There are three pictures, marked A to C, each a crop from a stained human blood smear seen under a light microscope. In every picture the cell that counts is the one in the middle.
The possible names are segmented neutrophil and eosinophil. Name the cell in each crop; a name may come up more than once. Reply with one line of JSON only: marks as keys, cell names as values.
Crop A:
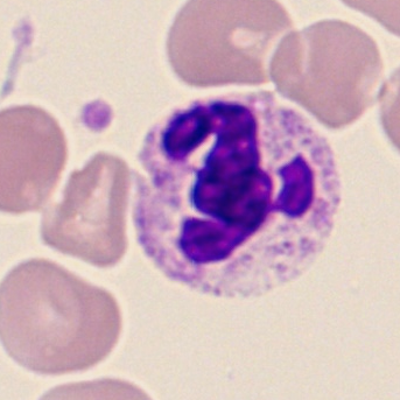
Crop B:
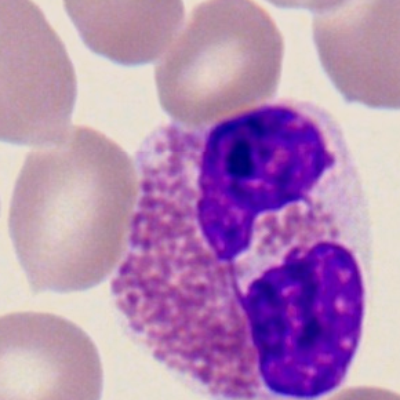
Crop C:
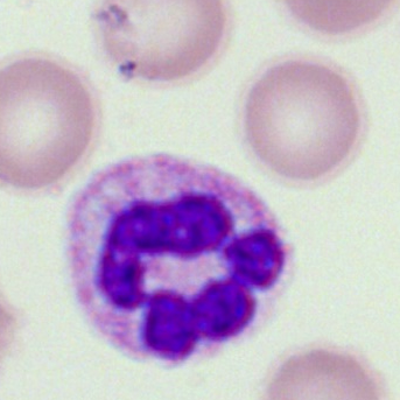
{"A": "segmented neutrophil", "B": "eosinophil", "C": "segmented neutrophil"}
